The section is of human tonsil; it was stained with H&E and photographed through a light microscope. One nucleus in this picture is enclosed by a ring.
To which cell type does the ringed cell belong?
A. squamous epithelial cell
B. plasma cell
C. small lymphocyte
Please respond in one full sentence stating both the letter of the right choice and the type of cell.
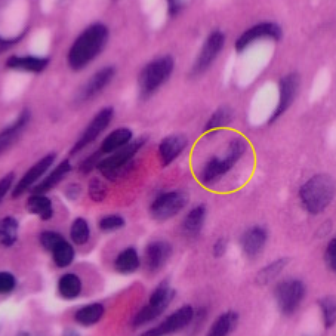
Option A is right, and the ringed cell is a squamous epithelial cell.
